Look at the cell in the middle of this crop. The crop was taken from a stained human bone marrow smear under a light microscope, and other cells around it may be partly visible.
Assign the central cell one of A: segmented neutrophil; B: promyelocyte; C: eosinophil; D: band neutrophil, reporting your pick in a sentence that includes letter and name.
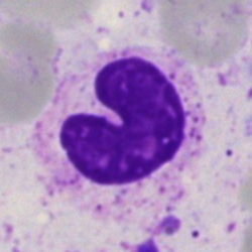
The cell in the middle is a band neutrophil, and so option D is correct.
